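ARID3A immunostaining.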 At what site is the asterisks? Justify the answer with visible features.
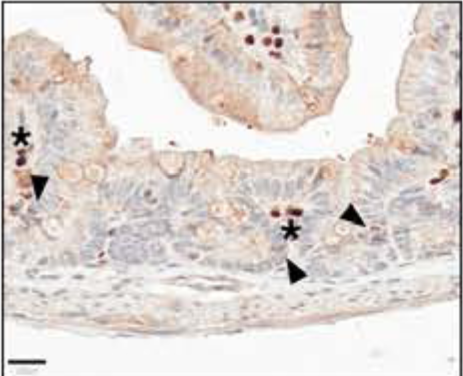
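The asterisks sit next to clusters of dark brown round nuclei in the tissue between crypts. These stained cells lie outside the epithelial lining.
Stromal.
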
